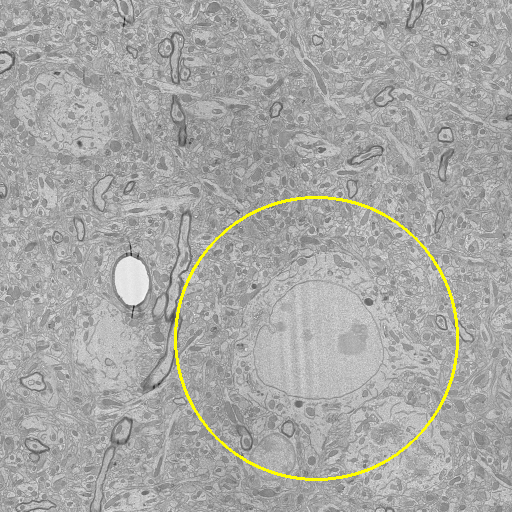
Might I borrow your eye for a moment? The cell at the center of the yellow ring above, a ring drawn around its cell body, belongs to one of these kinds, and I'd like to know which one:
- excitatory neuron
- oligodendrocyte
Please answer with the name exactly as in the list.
excitatory neuron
